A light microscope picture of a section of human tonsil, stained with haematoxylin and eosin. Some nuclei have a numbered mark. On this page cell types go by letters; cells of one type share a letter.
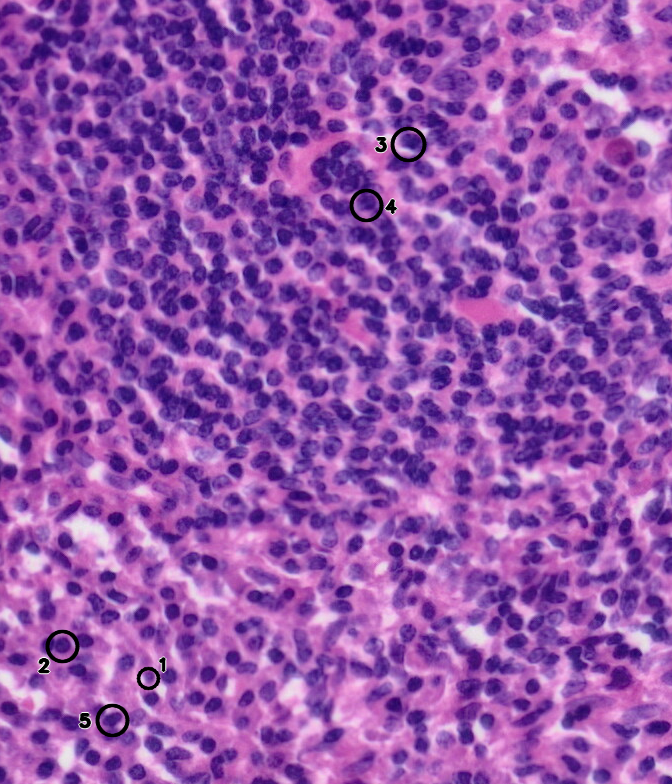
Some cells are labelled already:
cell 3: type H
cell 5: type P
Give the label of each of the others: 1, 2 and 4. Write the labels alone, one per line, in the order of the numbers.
type P
type P
type H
